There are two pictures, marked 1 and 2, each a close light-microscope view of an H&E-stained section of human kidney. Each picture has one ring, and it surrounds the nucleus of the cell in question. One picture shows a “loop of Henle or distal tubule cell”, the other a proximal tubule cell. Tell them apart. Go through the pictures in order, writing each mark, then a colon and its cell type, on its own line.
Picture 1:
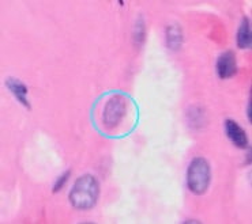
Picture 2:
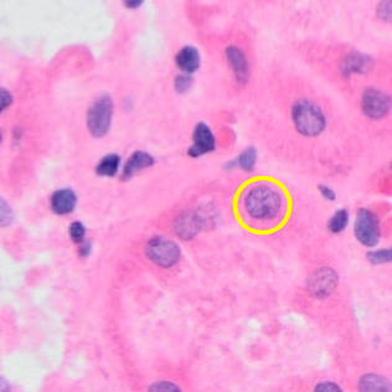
1: loop of Henle or distal tubule cell
2: proximal tubule cell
